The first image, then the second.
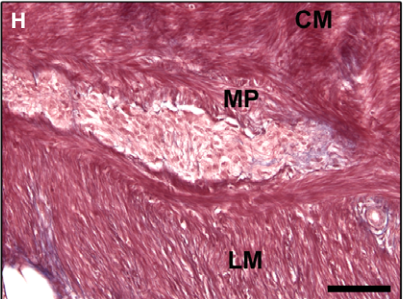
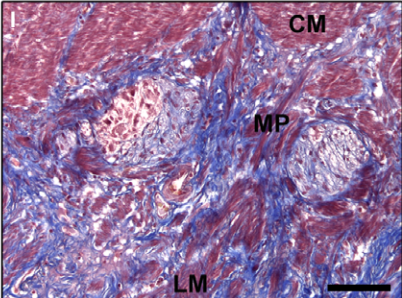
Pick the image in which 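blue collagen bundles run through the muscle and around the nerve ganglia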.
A: The second image.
